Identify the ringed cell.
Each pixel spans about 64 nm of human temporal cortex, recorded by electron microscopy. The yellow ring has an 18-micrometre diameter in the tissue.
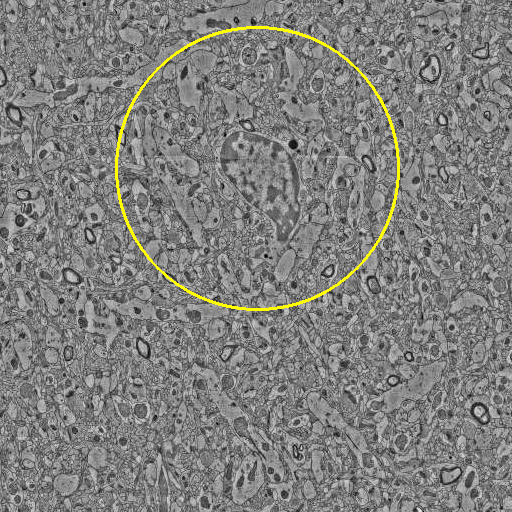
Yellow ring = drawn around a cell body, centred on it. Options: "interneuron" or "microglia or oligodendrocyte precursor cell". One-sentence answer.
What the ring is centred on is a microglial cell or oligodendrocyte precursor cell.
